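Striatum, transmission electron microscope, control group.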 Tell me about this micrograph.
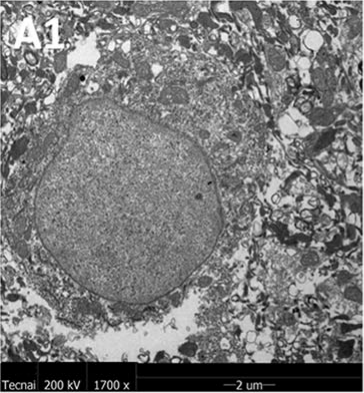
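The nucleus is bounded by a smooth, continuous envelope, and a rim of cytoplasm with small organelles surrounds it. Around the cell lies densely packed neuropil with many small profiles and a few pale spaces.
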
